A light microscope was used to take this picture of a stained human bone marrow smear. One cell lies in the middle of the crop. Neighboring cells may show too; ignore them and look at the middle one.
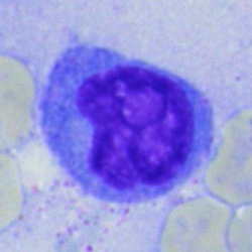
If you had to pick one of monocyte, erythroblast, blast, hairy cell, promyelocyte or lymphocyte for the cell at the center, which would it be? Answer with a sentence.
This particular crop is centered on a monocyte.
